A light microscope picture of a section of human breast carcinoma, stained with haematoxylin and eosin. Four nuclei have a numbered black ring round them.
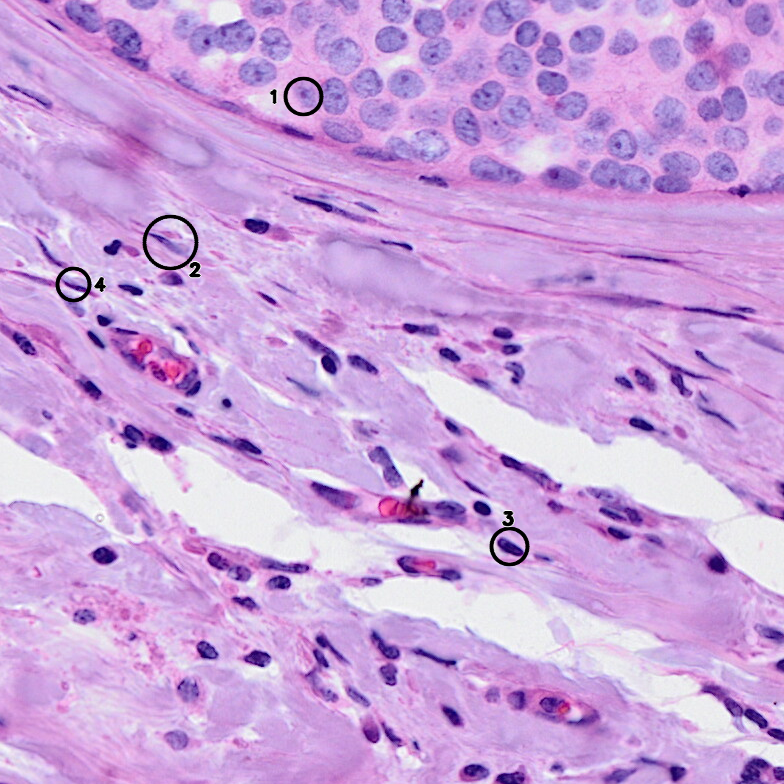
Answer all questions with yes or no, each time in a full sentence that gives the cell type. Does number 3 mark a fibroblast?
No, the cell under number 3 is a lymphocyte instead of a fibroblast.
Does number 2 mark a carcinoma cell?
No, sorry, the cell labelled 2 is not a carcinoma cell; it is a fibroblast.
